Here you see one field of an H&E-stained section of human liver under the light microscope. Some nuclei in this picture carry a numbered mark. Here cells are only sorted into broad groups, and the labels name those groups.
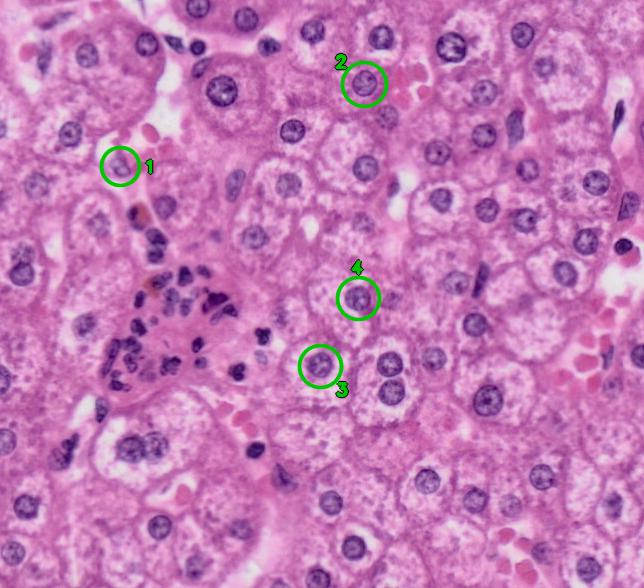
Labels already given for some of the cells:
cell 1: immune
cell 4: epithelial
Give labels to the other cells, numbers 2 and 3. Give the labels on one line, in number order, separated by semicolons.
epithelial; epithelial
